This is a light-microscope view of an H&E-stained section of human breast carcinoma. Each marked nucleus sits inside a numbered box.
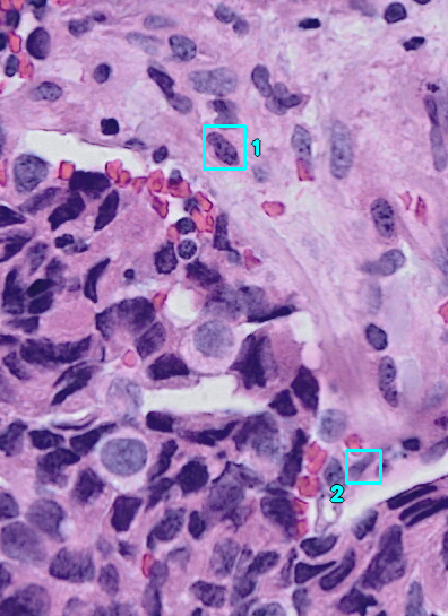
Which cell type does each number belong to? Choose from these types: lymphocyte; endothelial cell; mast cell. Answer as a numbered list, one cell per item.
1. mast cell
2. endothelial cell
